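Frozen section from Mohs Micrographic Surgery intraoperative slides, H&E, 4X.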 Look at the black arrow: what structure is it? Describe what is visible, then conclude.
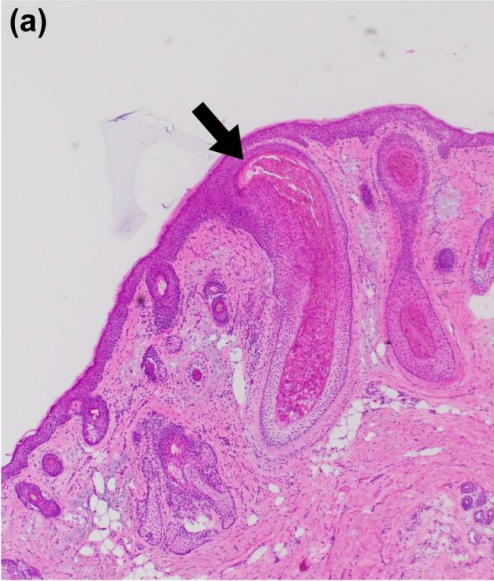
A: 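Distended hair follicles. The structure's lumen is filled with pink material and is wider than neighbouring follicles.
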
